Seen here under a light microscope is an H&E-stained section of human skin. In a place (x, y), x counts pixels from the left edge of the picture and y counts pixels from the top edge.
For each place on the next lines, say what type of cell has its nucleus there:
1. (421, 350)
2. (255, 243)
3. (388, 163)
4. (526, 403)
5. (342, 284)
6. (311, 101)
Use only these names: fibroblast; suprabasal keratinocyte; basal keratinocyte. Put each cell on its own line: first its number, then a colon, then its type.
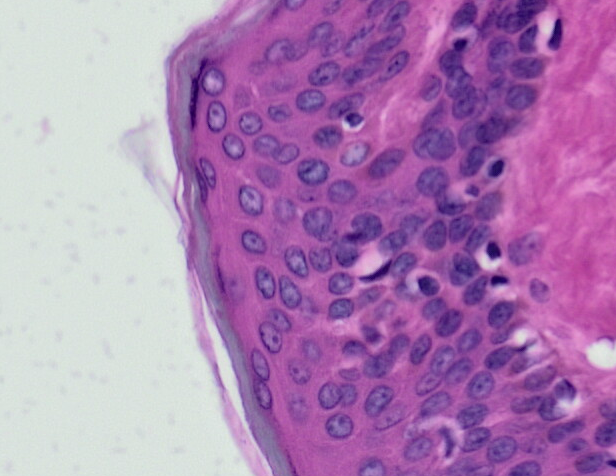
1: basal keratinocyte
2: suprabasal keratinocyte
3: basal keratinocyte
4: basal keratinocyte
5: basal keratinocyte
6: suprabasal keratinocyte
